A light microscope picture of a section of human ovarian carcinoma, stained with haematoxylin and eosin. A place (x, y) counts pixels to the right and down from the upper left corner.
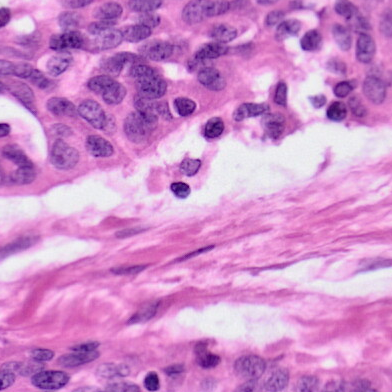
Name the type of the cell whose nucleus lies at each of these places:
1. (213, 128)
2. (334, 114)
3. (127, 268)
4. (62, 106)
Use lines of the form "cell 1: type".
cell 1: macrophage or monocyte
cell 2: carcinoma cell
cell 3: fibroblast
cell 4: carcinoma cell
